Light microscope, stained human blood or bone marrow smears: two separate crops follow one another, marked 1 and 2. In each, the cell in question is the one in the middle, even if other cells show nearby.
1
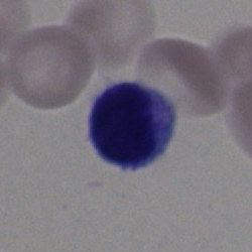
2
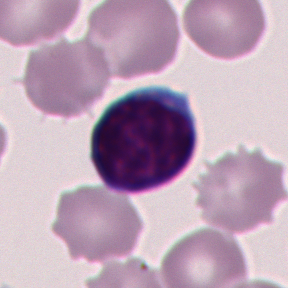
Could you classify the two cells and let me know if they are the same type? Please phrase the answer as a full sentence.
Yes, both crops are centred on lymphocytes.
